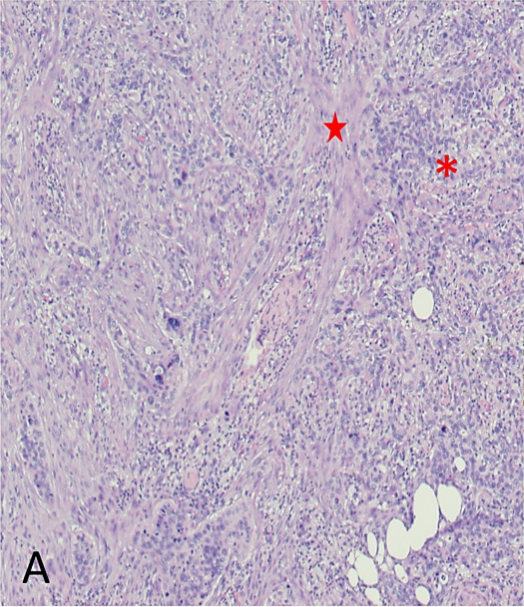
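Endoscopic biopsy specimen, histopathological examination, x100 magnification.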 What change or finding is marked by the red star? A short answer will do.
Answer: desmoplastic reaction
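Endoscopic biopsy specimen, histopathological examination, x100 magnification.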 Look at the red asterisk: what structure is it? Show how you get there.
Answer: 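Crowded clusters of purple-nucleated cells form nests. The nests are bounded by bands of pale pink fibrous tissue. So: malignant cell islets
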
